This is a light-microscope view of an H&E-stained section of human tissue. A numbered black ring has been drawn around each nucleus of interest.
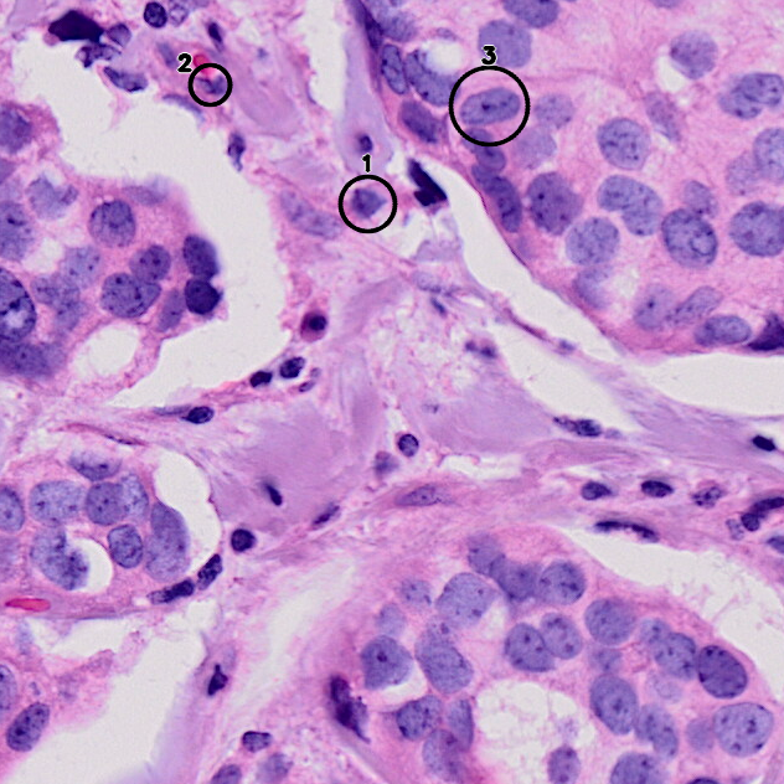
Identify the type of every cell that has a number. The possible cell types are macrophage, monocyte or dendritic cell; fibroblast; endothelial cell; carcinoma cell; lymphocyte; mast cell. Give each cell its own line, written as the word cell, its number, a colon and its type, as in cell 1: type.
cell 1: carcinoma cell
cell 2: endothelial cell
cell 3: carcinoma cell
